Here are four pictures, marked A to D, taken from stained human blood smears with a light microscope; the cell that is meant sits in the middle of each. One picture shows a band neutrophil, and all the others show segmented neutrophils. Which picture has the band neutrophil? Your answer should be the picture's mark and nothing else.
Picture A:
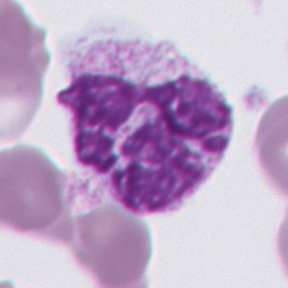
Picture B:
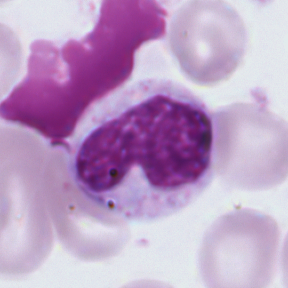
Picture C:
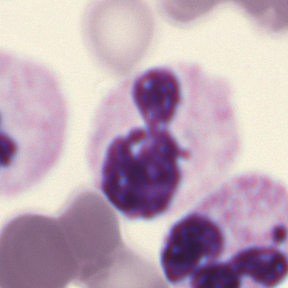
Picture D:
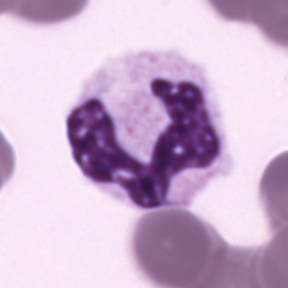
B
